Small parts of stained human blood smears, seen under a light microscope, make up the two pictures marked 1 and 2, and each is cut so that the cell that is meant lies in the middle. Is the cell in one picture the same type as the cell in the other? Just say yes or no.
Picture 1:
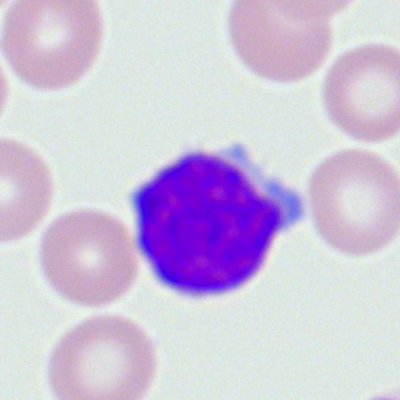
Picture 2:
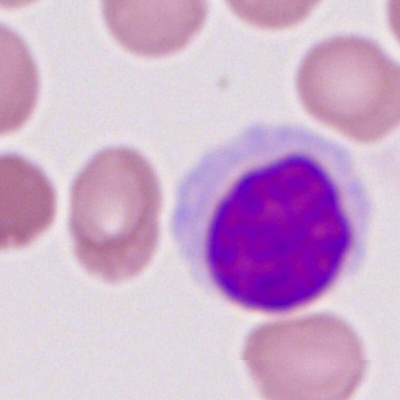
yes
